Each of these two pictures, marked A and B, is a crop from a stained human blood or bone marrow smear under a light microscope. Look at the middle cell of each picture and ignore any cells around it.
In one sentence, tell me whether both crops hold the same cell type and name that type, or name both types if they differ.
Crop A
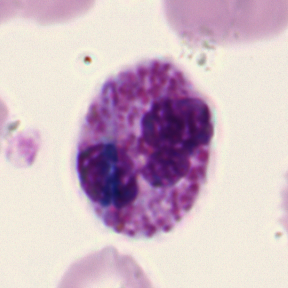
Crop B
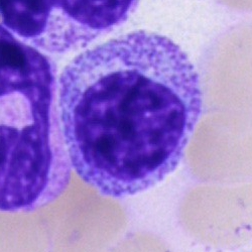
No, at the centre of crop A is an eosinophil, and at the centre of crop B is a myelocyte.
